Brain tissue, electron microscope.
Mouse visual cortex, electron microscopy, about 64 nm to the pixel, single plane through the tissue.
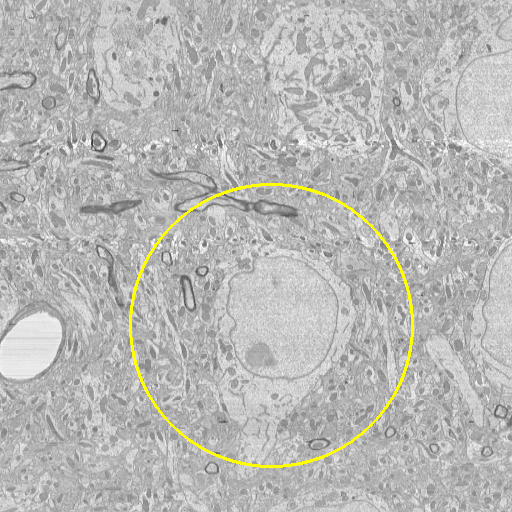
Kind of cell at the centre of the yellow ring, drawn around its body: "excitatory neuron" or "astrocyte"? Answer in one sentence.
The ring's centre falls on an excitatory neuron.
